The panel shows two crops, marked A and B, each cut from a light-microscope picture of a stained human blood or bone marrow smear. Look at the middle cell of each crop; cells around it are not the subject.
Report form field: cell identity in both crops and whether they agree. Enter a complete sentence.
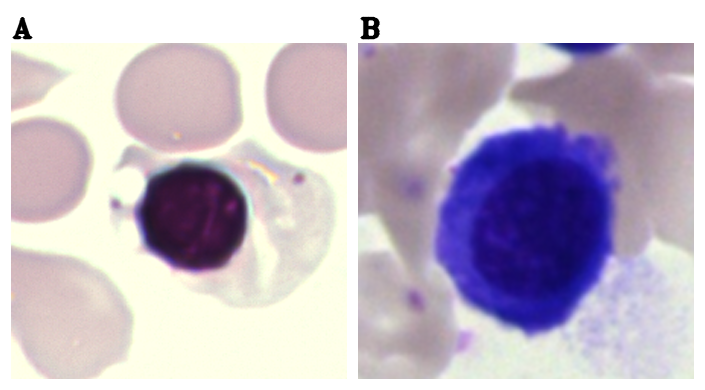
No, the cell centred in crop B is a plasma cell; crop A centres on an erythroblast.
